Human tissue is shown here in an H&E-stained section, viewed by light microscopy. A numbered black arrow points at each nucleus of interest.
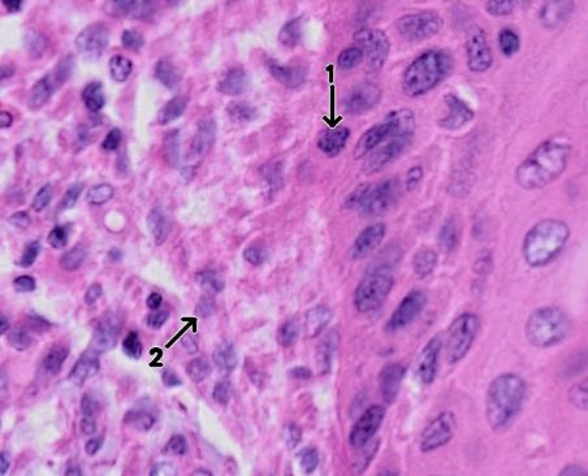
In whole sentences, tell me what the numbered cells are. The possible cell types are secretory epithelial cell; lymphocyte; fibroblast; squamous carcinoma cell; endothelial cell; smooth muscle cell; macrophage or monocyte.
Cell 1 is a squamous carcinoma cell and cell 2 is a fibroblast.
